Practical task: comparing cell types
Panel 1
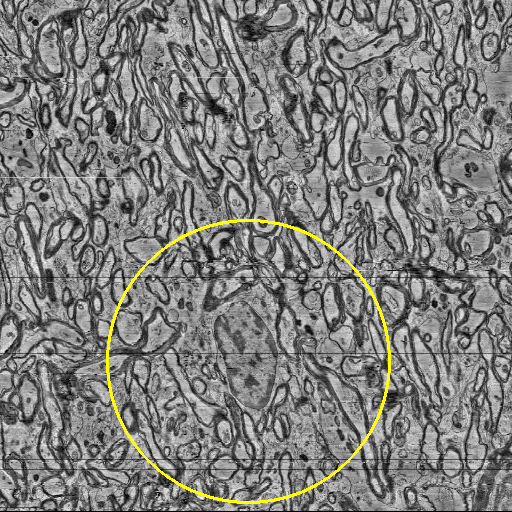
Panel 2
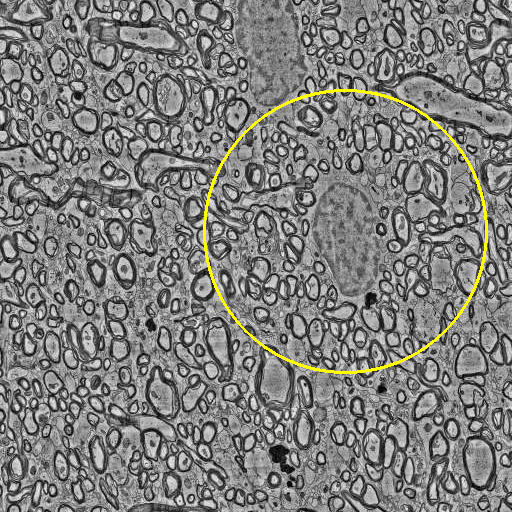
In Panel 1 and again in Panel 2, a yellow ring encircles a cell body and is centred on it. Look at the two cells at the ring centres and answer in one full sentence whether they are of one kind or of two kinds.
The two cells sitting at the ring centres of Panels 1 and 2 are of two kinds.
